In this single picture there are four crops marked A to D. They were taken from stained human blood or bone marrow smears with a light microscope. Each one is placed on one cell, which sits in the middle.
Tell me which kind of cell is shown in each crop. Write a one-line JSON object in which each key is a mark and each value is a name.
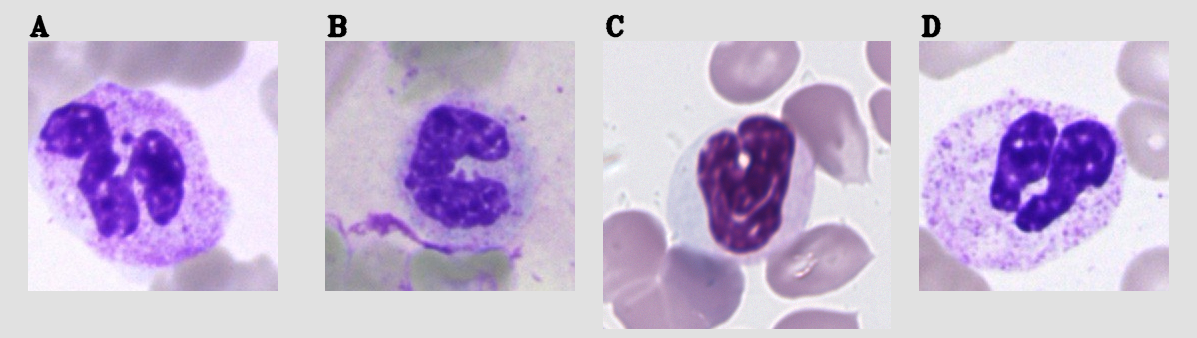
{"A": "segmented neutrophil", "B": "band neutrophil", "C": "band neutrophil", "D": "segmented neutrophil"}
